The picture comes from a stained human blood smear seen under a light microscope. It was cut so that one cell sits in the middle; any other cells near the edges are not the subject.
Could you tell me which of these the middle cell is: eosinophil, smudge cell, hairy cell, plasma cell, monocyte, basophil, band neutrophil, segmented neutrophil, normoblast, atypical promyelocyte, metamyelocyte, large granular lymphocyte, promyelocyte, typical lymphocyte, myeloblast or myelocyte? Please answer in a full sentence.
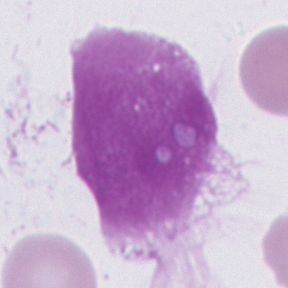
Centred in the crop is a smudge cell.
